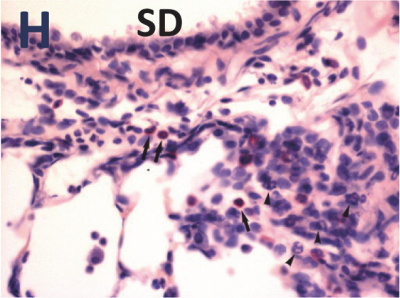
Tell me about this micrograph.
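Lung with an airway lined by epithelium, and beneath it and around adjacent alveolar spaces an infiltrate of inflammatory cells. Scattered among them are neutrophils with dark lobed nuclei, some cells with reddish cytoplasm among them.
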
